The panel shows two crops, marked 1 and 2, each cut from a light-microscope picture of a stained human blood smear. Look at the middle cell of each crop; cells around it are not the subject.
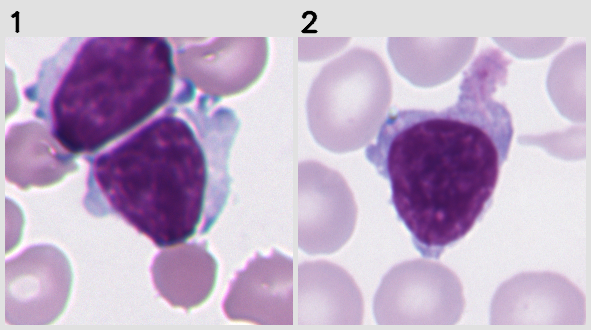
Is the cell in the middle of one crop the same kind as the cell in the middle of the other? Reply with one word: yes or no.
yes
